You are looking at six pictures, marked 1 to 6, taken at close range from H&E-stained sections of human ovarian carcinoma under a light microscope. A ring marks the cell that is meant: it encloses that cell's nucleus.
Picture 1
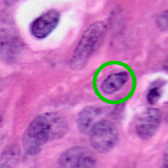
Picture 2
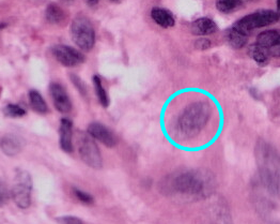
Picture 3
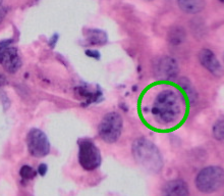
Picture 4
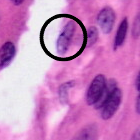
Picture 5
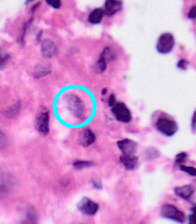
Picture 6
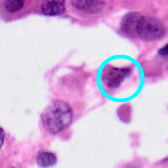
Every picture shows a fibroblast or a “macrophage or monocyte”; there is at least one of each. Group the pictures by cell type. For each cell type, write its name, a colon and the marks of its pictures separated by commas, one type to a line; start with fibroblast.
fibroblast: 2, 5
macrophage or monocyte: 1, 3, 4, 6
